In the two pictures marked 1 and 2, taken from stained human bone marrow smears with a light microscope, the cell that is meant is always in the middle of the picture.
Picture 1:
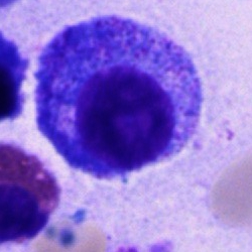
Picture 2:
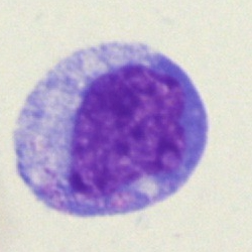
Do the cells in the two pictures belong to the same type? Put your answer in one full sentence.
Yes, they are the same type: both are promyelocytes.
